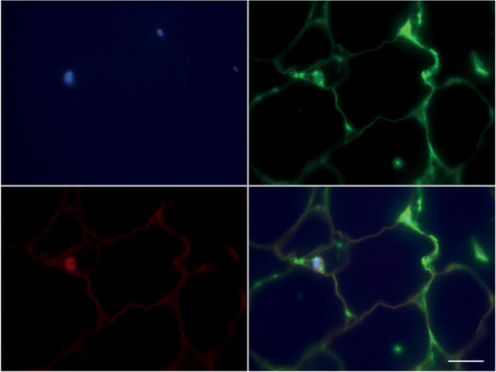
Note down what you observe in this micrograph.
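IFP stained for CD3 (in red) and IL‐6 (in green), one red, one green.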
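This is adipose tissue made of large polygonal adipocytes whose interiors appear empty and dark, with only their thin rims visible. The rims are traced by green and weaker red signal, and they fit together like a honeycomb. In the narrow space where several adipocytes meet lies a single small round cell with a blue nucleus. This small cell stains bright red, and green signal lies along its edge, pressed against the neighbouring adipocyte rims.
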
